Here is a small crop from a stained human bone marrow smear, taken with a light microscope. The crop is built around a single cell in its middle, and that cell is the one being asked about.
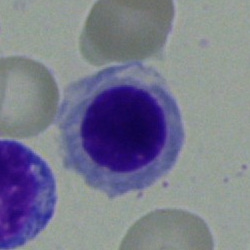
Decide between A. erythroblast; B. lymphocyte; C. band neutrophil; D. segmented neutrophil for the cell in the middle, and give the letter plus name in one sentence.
Answer key: option A, the middle cell being an erythroblast.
